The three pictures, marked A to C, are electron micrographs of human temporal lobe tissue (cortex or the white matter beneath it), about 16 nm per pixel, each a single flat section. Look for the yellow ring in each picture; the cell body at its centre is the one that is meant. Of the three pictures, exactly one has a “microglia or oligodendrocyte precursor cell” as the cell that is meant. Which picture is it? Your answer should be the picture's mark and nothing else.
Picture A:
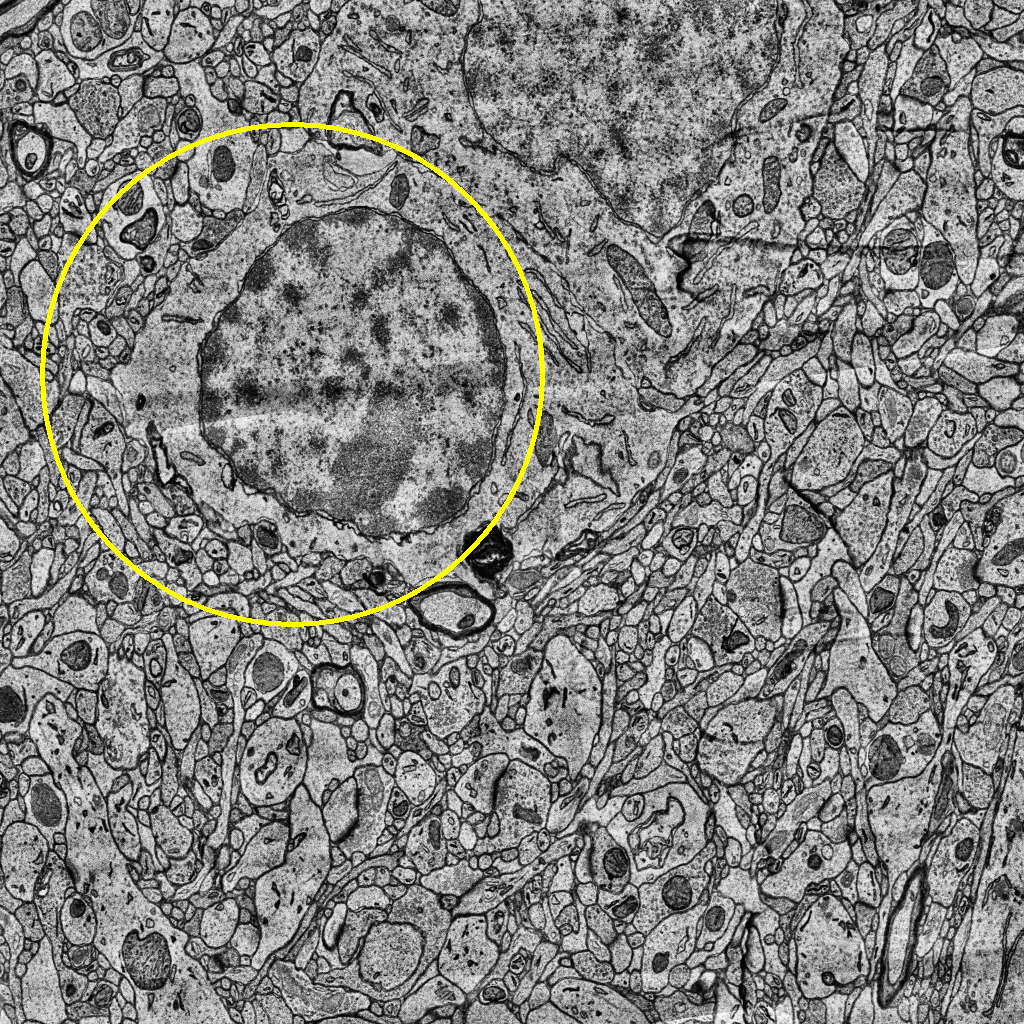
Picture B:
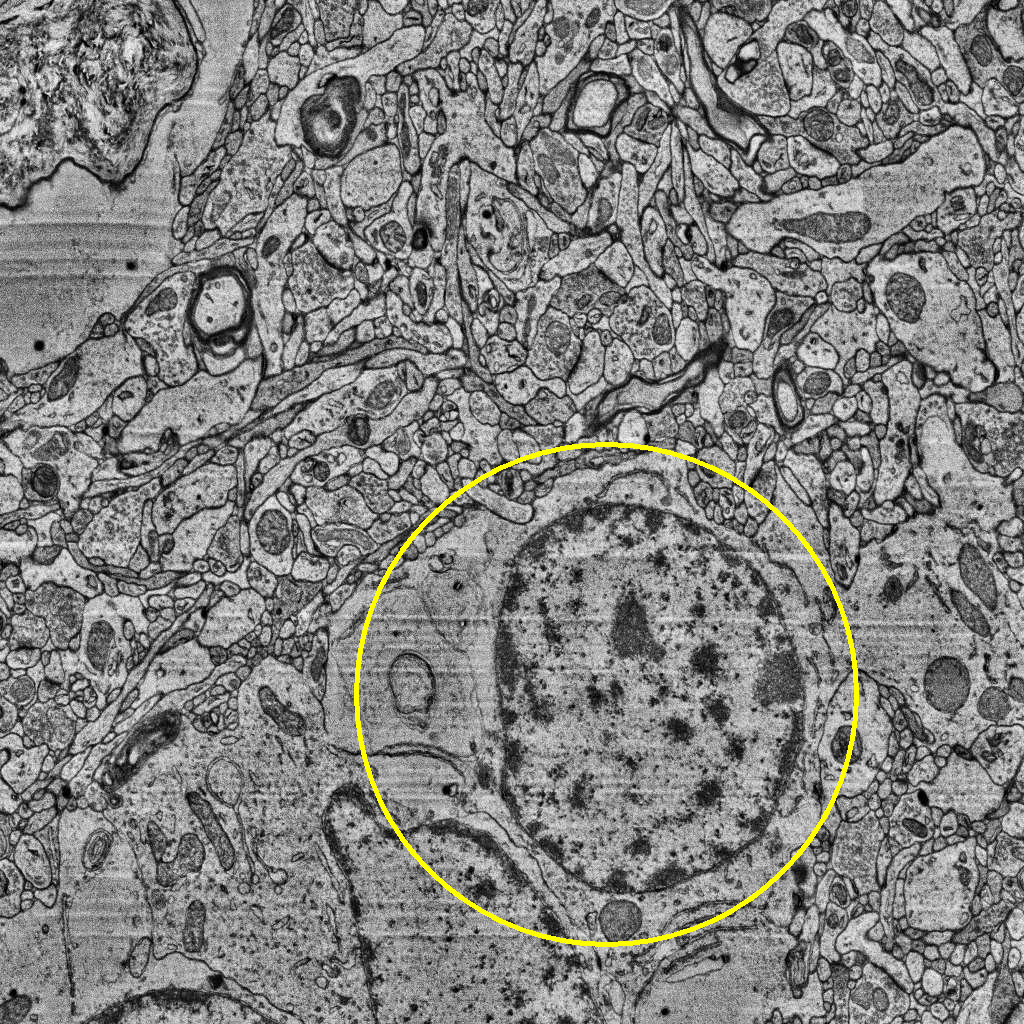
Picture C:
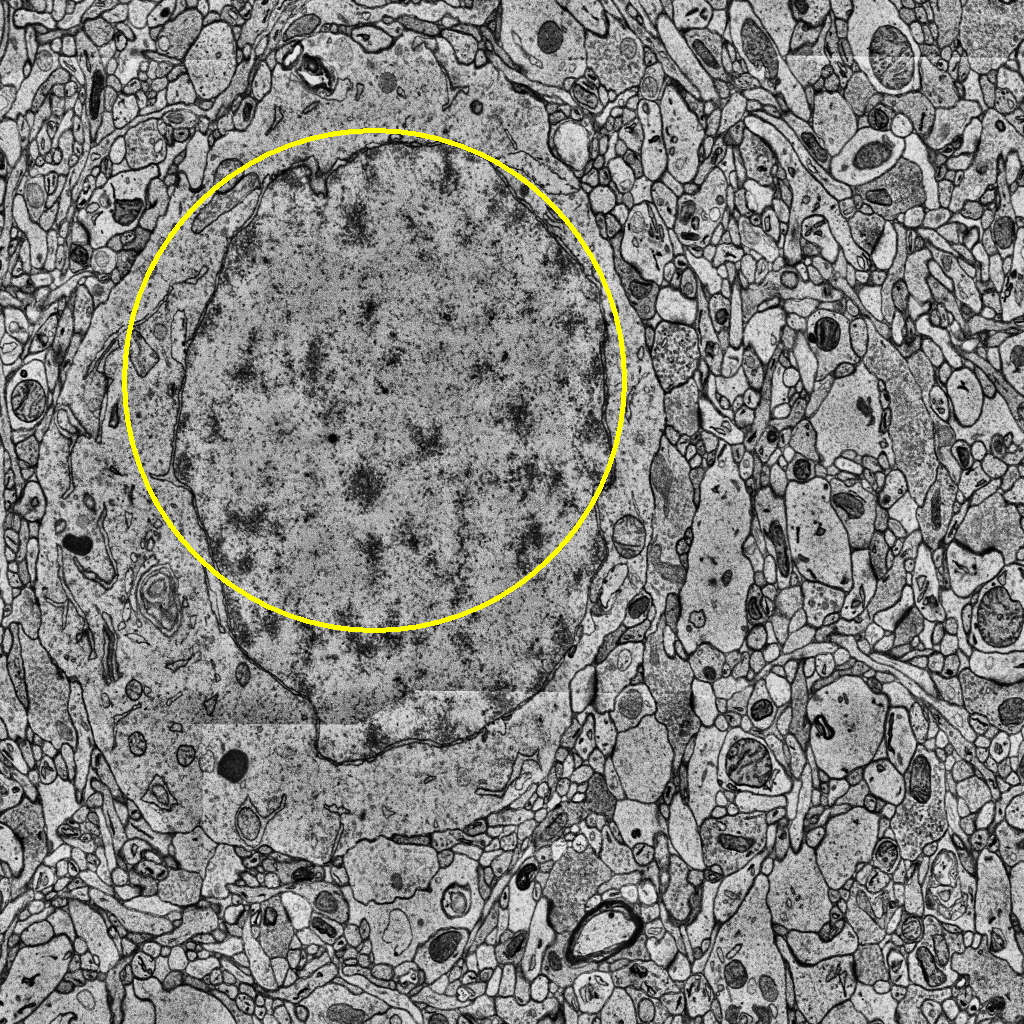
A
